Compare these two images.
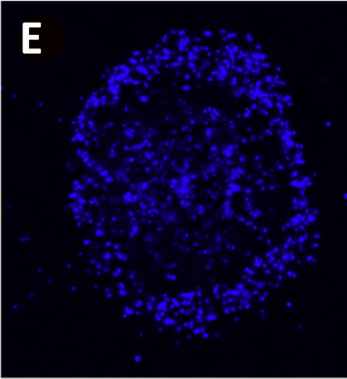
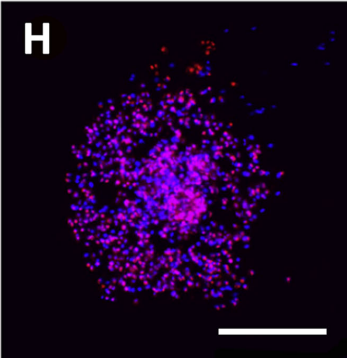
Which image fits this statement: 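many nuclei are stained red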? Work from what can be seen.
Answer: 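Second image: most nuclei appear magenta to red, where red overlaps blue. First image: the nuclei are only blue, with no red.
Hence: the second image.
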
